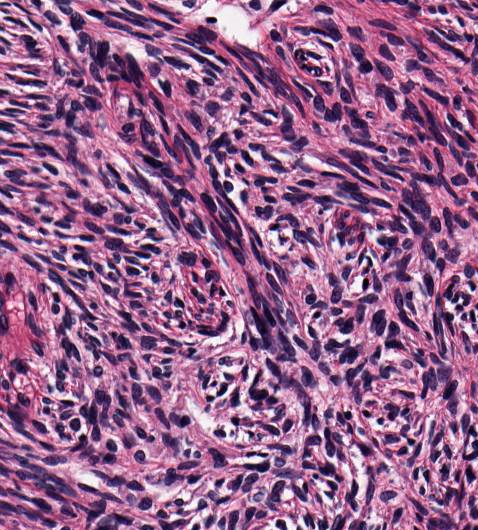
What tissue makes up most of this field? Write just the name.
ovarian cortex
